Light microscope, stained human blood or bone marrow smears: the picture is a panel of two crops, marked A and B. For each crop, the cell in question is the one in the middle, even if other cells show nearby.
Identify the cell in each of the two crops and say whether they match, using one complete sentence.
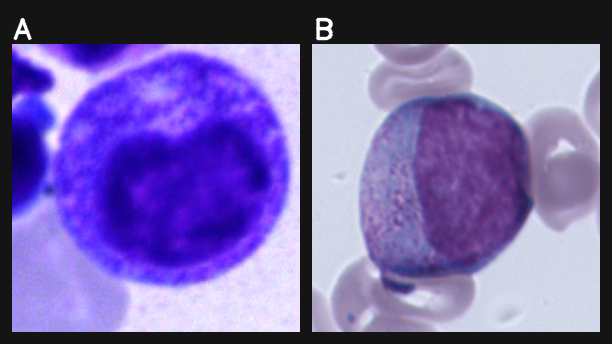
Yes, promyelocytes are shown in both crops.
